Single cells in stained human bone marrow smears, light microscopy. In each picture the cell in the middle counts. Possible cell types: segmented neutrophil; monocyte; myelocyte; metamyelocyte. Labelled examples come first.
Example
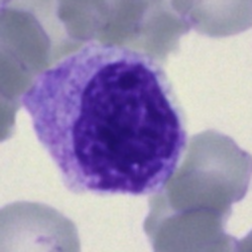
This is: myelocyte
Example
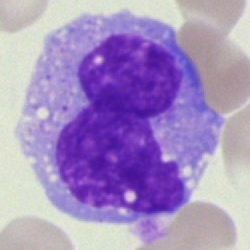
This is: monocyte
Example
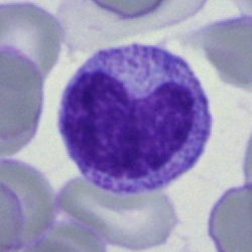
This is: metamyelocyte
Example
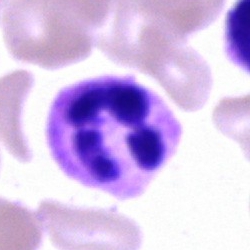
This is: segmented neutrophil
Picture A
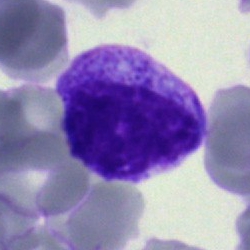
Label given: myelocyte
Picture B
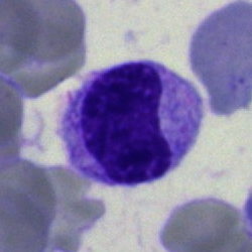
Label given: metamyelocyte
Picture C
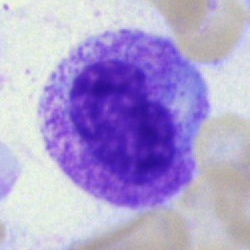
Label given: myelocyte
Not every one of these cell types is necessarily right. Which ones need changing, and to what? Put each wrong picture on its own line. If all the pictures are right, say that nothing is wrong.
C is labelled myelocyte; correct label: metamyelocyte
